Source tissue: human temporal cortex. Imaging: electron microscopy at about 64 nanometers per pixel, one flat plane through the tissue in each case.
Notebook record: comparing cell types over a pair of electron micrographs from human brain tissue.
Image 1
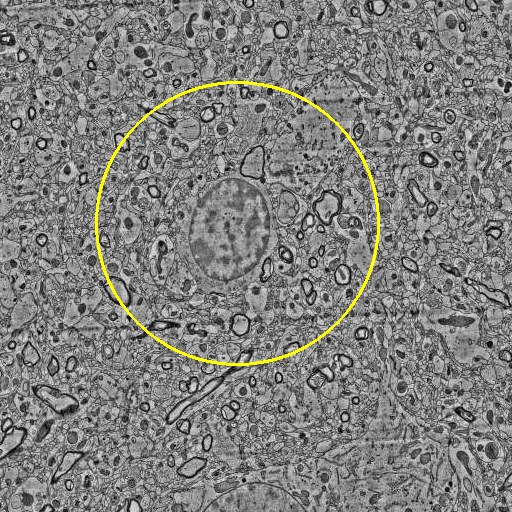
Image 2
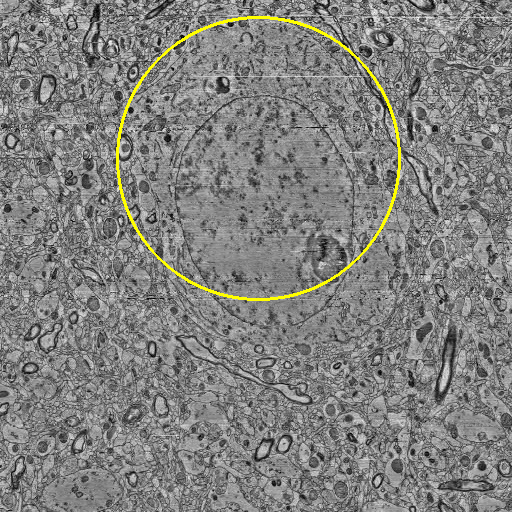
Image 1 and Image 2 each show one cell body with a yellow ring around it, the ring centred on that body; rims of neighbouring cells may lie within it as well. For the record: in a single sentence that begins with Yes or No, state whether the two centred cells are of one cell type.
No, two cell types are found among the centred cells of Image 1 and Image 2.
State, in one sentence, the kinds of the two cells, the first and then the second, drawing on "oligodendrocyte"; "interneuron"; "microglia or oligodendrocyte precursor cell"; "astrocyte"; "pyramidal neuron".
The ring in the second picture is centred on a pyramidal neuron, the ring in the first on an oligodendrocyte.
